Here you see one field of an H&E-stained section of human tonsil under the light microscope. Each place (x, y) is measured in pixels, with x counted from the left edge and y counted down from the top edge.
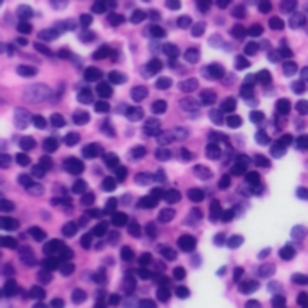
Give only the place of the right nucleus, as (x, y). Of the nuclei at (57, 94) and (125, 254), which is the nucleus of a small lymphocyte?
(125, 254)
